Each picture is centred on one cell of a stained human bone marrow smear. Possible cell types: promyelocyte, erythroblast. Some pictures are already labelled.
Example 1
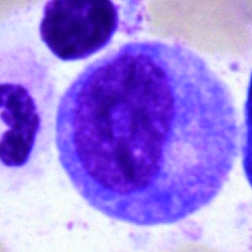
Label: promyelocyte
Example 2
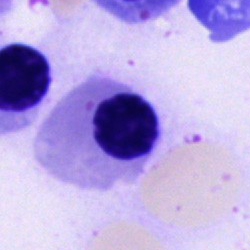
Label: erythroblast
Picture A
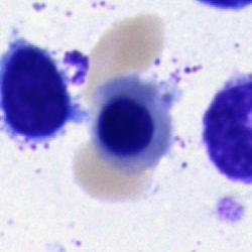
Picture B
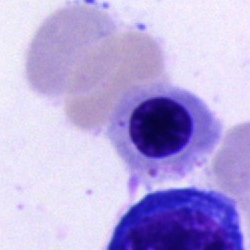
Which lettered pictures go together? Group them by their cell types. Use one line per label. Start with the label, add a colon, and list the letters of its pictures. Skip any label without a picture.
erythroblast: A, B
